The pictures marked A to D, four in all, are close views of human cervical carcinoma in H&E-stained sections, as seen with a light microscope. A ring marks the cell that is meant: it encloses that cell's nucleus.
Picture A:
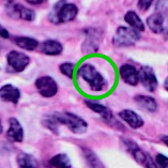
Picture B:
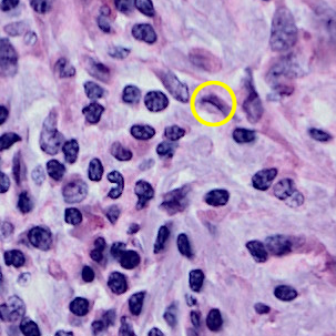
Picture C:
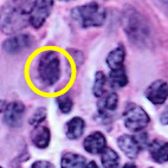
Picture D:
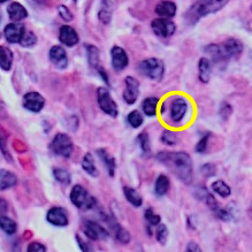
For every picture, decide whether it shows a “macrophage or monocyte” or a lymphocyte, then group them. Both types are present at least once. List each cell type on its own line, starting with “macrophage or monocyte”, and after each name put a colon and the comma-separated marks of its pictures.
macrophage or monocyte: B
lymphocyte: A, C, D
